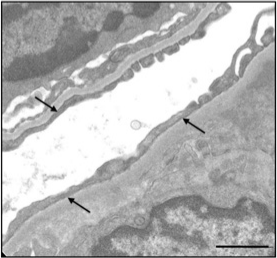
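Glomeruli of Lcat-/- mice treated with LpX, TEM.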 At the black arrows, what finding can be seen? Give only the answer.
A: Podocyte effacement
